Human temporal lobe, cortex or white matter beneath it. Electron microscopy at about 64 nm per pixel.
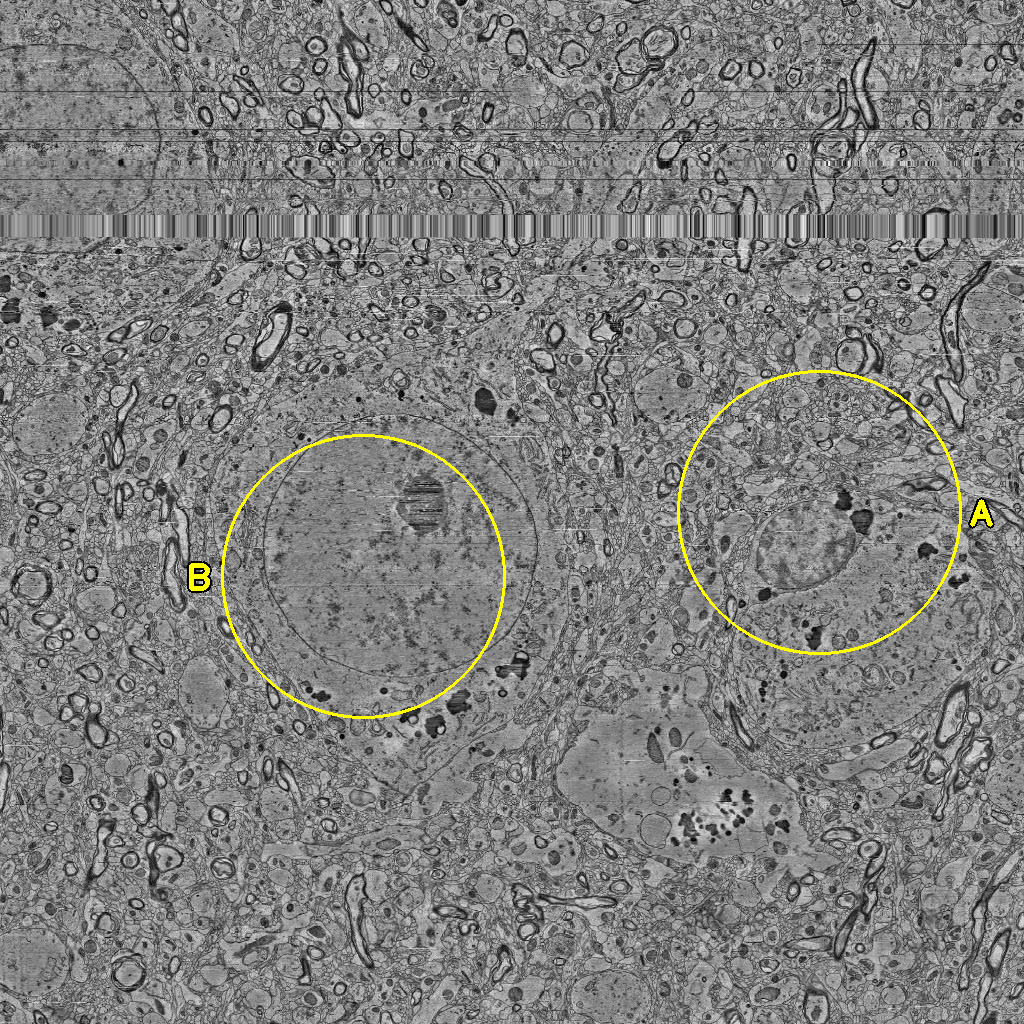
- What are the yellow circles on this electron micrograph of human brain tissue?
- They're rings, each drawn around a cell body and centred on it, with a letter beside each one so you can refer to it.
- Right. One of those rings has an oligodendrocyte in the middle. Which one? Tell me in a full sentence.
It's ring A.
